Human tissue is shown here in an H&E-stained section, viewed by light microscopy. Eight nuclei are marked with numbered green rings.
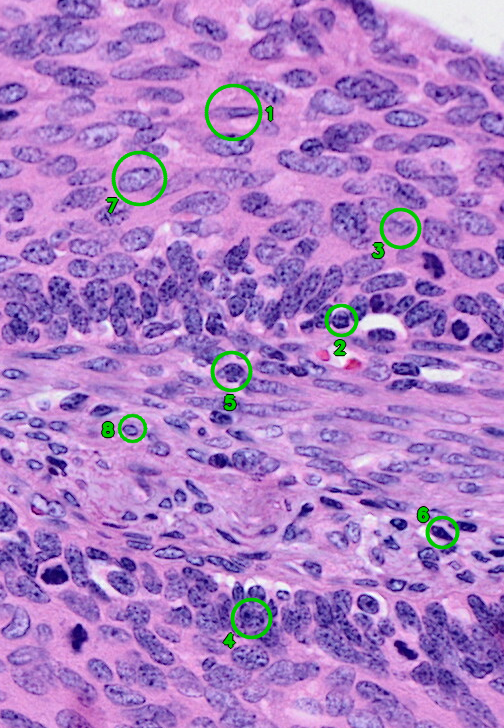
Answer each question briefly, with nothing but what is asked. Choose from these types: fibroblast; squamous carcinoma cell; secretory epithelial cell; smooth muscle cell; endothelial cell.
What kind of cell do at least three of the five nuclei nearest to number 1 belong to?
squamous carcinoma cell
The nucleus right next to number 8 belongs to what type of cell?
smooth muscle cell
